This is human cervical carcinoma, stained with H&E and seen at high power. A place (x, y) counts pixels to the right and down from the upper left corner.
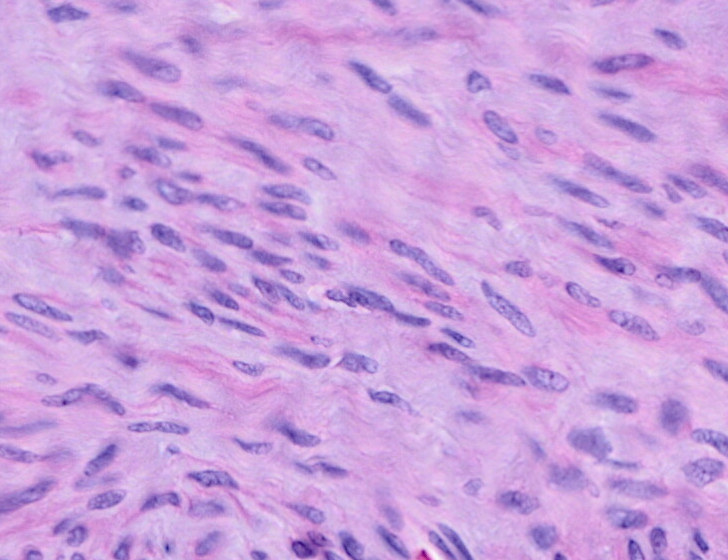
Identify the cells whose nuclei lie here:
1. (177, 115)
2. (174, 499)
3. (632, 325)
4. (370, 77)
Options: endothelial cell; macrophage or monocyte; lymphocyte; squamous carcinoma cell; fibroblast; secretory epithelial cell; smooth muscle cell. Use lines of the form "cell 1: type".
cell 1: smooth muscle cell
cell 2: smooth muscle cell
cell 3: smooth muscle cell
cell 4: fibroblast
